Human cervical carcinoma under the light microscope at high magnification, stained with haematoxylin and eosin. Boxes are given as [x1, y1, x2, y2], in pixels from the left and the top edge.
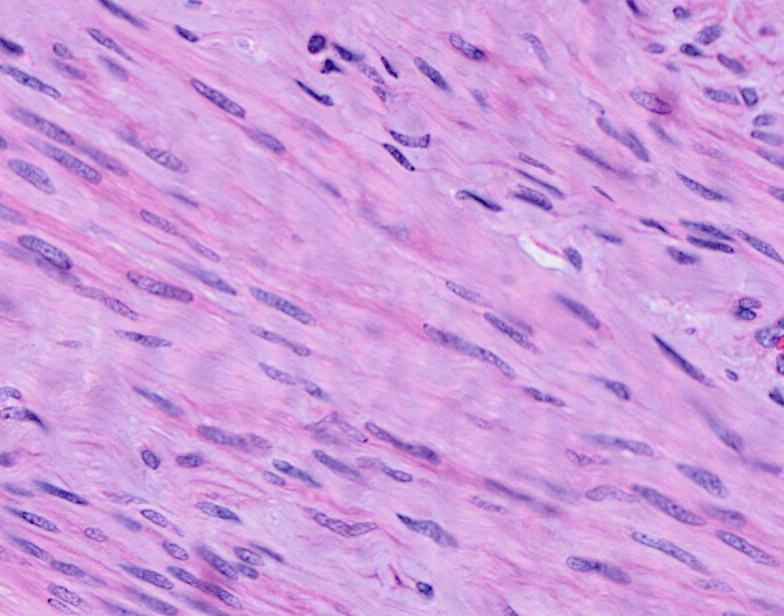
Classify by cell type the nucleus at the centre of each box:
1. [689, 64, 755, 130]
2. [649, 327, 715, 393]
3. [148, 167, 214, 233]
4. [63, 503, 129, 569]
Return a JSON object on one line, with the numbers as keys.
{"1": "smooth muscle cell", "2": "fibroblast", "3": "smooth muscle cell", "4": "smooth muscle cell"}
